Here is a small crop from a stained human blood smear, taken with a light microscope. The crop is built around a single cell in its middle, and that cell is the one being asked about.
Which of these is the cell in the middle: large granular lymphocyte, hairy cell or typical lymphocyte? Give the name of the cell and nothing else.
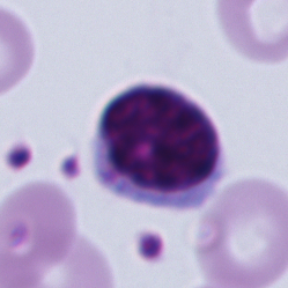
typical lymphocyte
